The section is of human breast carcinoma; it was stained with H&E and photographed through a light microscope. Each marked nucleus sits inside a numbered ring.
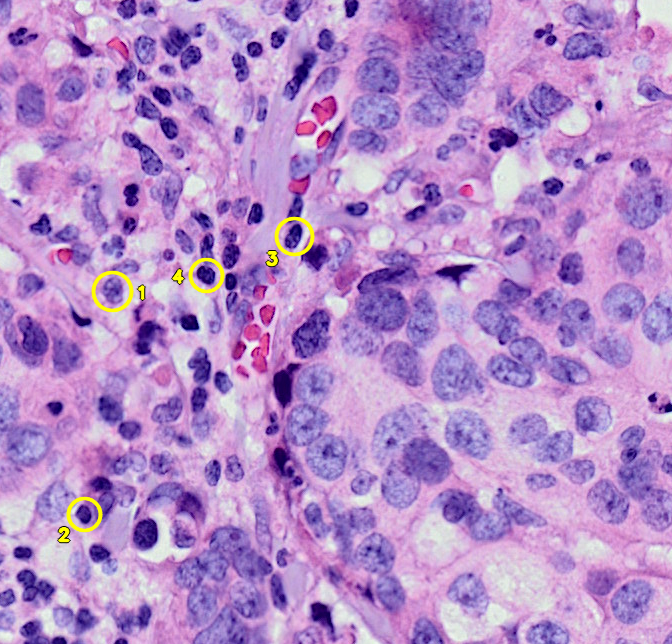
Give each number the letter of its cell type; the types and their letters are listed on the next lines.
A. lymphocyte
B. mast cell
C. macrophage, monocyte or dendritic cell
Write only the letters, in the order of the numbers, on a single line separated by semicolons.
C; A; A; A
